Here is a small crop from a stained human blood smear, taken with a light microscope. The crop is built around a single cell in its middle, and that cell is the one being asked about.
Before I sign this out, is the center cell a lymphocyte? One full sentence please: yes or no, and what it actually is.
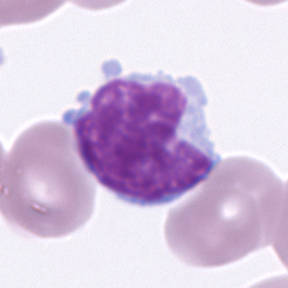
Yes, the cell occupying the middle of the crop is a lymphocyte.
